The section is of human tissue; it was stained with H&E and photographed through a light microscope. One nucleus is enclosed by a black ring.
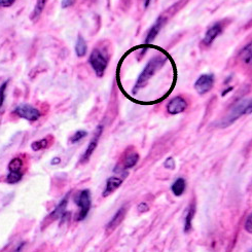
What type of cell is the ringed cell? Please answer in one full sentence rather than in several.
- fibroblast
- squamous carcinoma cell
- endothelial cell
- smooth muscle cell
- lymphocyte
Just put down that the ringed cell is a fibroblast.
